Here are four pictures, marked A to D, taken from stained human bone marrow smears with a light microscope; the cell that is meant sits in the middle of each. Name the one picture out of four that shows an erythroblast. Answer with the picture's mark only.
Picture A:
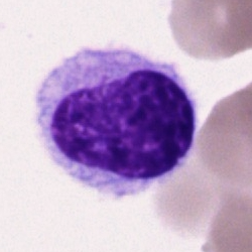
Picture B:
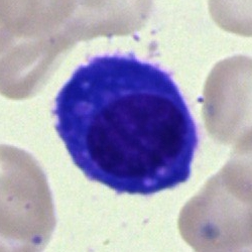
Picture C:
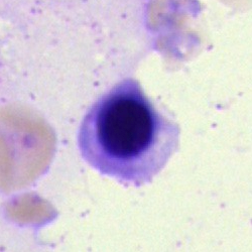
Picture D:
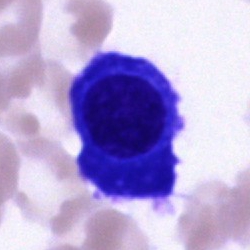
C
